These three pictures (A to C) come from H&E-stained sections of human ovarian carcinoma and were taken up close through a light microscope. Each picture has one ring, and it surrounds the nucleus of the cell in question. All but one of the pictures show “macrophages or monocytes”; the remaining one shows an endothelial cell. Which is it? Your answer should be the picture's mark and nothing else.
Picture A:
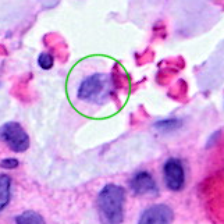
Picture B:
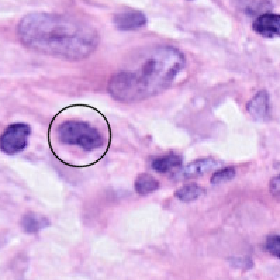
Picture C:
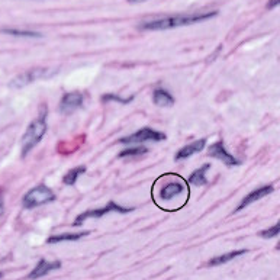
A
